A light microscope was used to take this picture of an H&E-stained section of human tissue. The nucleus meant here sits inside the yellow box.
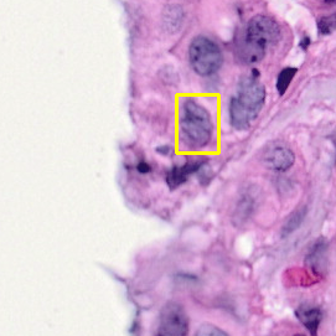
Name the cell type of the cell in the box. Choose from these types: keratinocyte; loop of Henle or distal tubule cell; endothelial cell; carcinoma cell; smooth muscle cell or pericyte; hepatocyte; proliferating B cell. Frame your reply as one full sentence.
In this tissue section, the cell in the box is to be classed as a carcinoma cell.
